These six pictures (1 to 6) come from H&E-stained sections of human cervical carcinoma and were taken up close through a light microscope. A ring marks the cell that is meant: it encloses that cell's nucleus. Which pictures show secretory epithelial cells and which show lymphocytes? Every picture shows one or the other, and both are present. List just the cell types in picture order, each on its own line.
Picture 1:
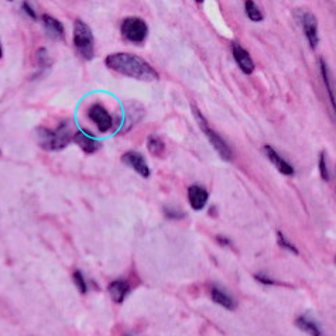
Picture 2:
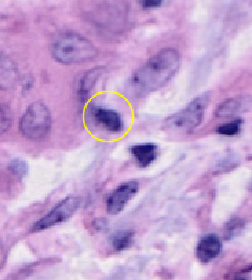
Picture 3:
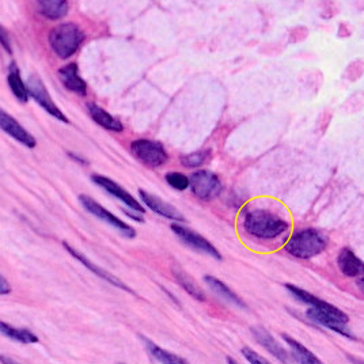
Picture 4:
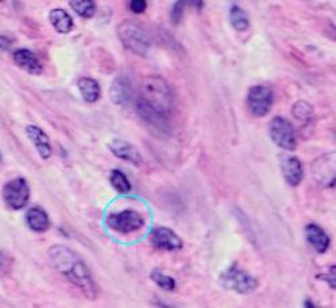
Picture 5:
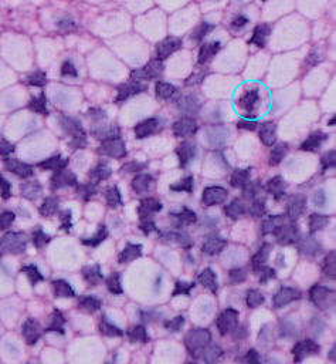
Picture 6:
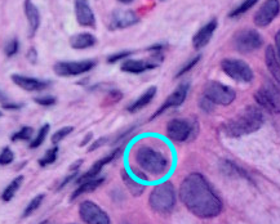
lymphocyte
lymphocyte
secretory epithelial cell
lymphocyte
secretory epithelial cell
secretory epithelial cell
